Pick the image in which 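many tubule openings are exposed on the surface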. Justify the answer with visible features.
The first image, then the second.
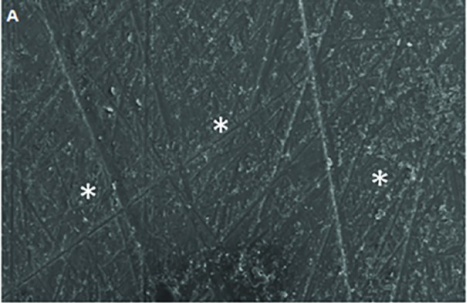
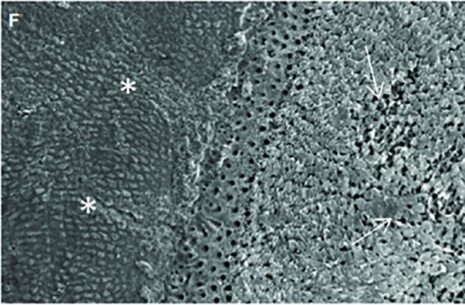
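First image: the surface is flat and crossed by scratch lines, with no rows of openings.
The second image.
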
